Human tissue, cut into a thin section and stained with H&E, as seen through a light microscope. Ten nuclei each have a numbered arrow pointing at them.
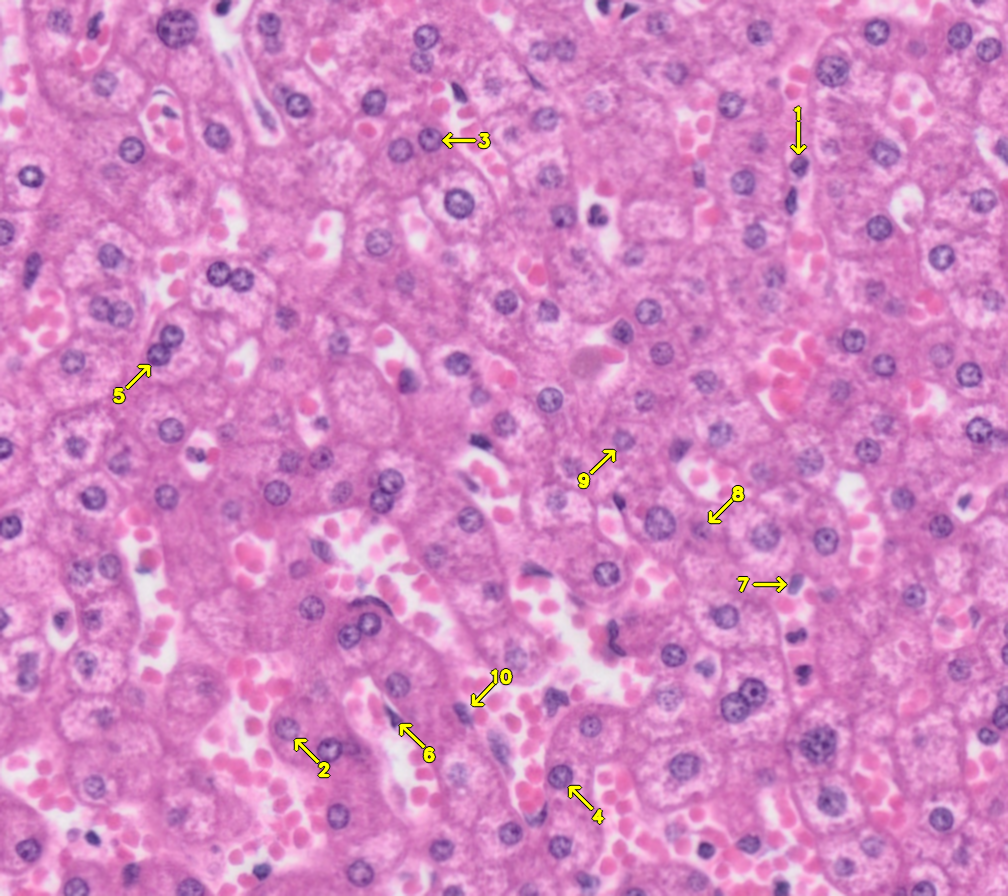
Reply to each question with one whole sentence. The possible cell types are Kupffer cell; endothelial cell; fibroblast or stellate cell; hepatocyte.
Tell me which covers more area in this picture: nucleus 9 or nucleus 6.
It is nucleus 9, which covers about 1.5 times the area of nucleus 6.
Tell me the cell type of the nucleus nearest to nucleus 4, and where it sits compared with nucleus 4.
An endothelial cell lies closest, below and to the left of nucleus 4.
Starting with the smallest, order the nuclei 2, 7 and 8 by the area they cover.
The order from the smallest nucleus to the largest is 7, 8, 2.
